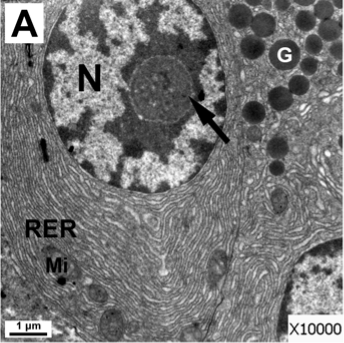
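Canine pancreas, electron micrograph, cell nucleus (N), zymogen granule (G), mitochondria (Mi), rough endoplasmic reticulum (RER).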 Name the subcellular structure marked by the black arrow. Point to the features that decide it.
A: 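The arrow points to a round, dense, granular body inside the nucleus. The body is distinct from the surrounding patchy chromatin. The answer: nucleolus.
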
